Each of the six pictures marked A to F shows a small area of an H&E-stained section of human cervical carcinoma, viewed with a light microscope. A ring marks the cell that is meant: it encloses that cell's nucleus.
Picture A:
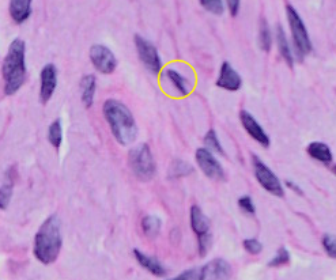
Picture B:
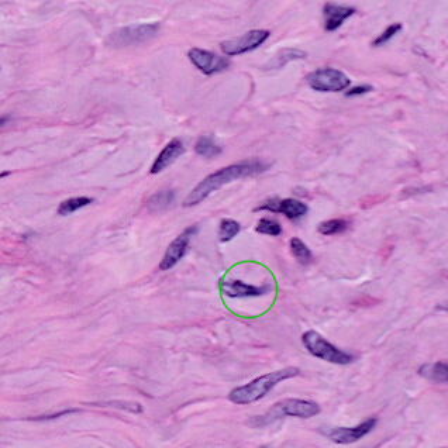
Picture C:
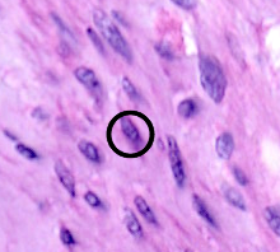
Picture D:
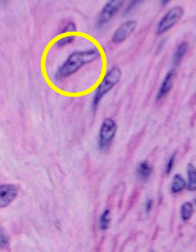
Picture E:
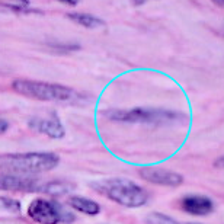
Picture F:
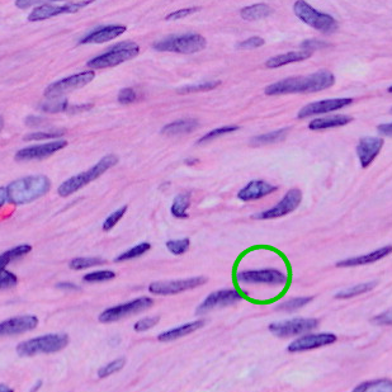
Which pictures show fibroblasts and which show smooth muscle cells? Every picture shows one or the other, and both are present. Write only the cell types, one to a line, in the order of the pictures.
fibroblast
fibroblast
smooth muscle cell
smooth muscle cell
fibroblast
fibroblast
